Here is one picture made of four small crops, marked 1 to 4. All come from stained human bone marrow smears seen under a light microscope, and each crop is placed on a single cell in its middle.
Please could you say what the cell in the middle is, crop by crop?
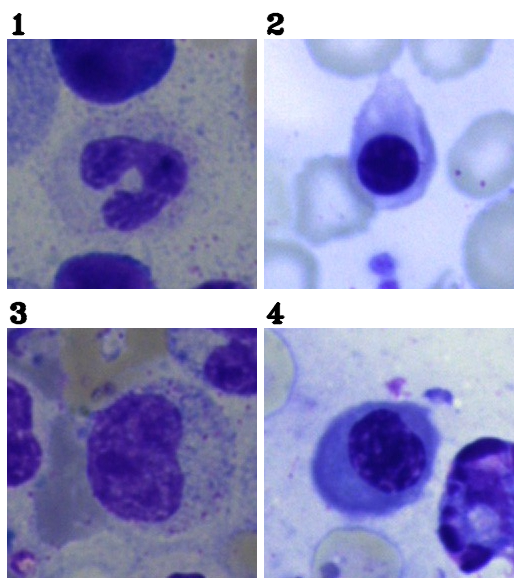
1: segmented neutrophil
2: normoblast
3: metamyelocyte
4: normoblast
